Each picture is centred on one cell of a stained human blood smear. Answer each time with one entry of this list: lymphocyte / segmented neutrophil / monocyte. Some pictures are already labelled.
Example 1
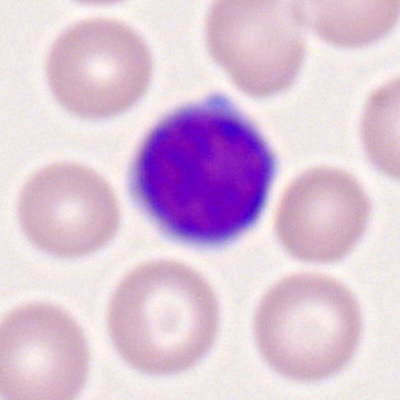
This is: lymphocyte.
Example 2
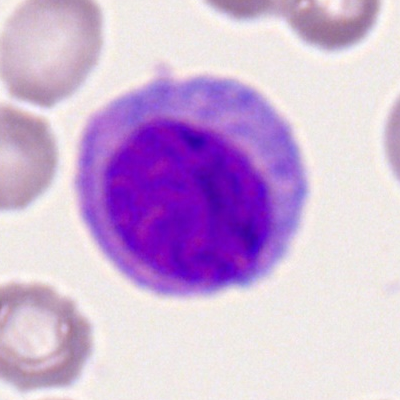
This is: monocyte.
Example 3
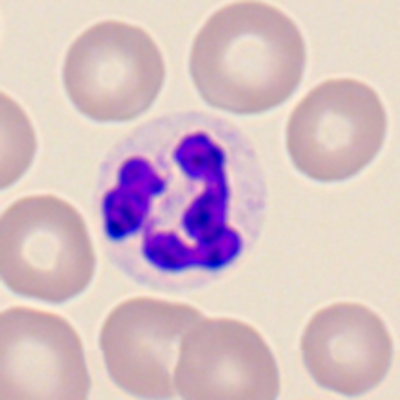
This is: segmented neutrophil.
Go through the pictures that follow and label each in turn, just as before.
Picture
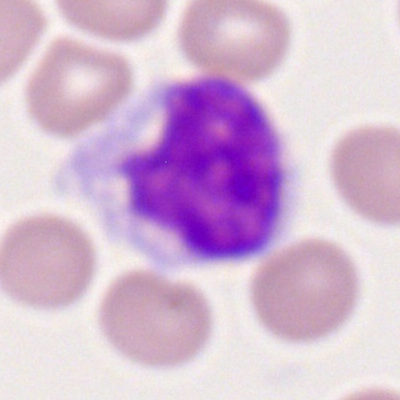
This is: monocyte.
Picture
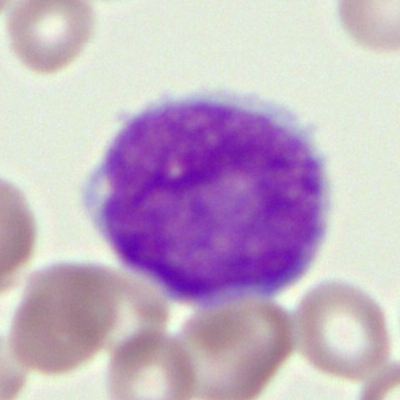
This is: monocyte.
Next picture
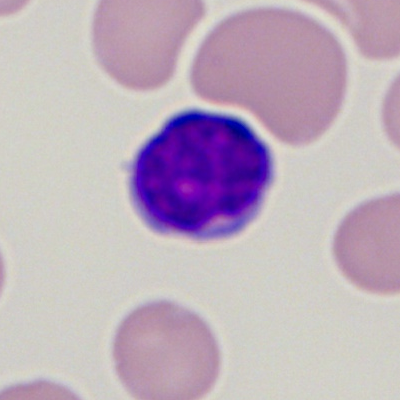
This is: lymphocyte.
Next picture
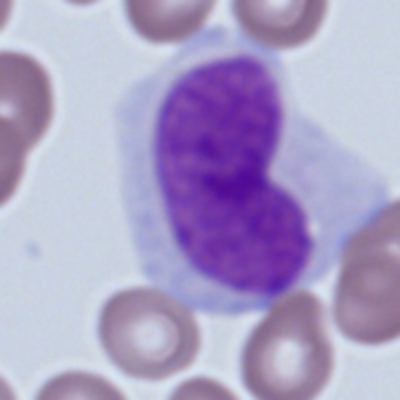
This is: monocyte.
